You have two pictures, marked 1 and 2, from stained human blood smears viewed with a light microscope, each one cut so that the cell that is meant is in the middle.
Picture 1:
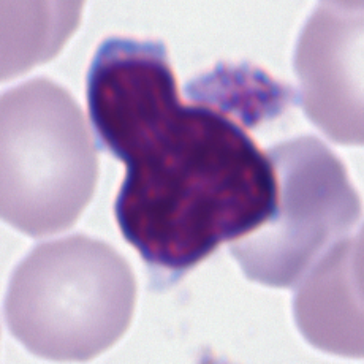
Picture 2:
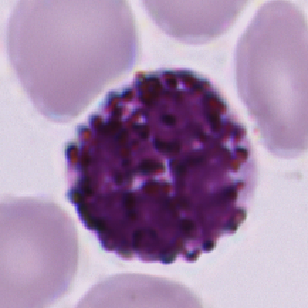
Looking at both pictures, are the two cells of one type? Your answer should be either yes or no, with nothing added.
no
